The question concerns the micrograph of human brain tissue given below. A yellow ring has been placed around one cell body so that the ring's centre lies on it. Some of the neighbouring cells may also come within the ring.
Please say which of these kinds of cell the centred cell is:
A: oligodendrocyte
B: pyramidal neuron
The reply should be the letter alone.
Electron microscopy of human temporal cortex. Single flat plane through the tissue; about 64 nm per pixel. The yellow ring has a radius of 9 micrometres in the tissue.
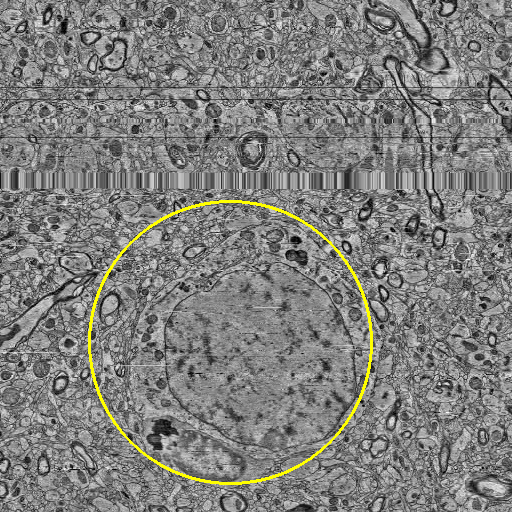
B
